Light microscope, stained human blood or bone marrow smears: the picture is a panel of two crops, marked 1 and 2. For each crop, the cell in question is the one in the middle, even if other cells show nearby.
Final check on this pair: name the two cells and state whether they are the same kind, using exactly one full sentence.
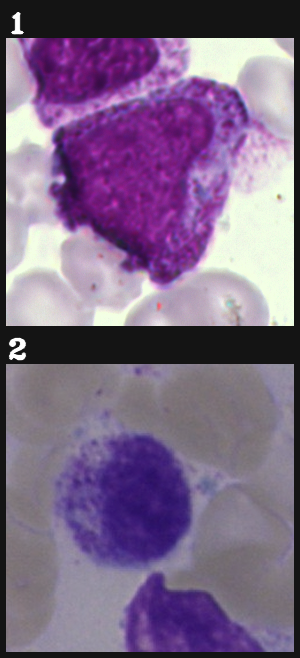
No, crop 1 shows a promyelocyte, whereas a myelocyte is what crop 2 shows.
